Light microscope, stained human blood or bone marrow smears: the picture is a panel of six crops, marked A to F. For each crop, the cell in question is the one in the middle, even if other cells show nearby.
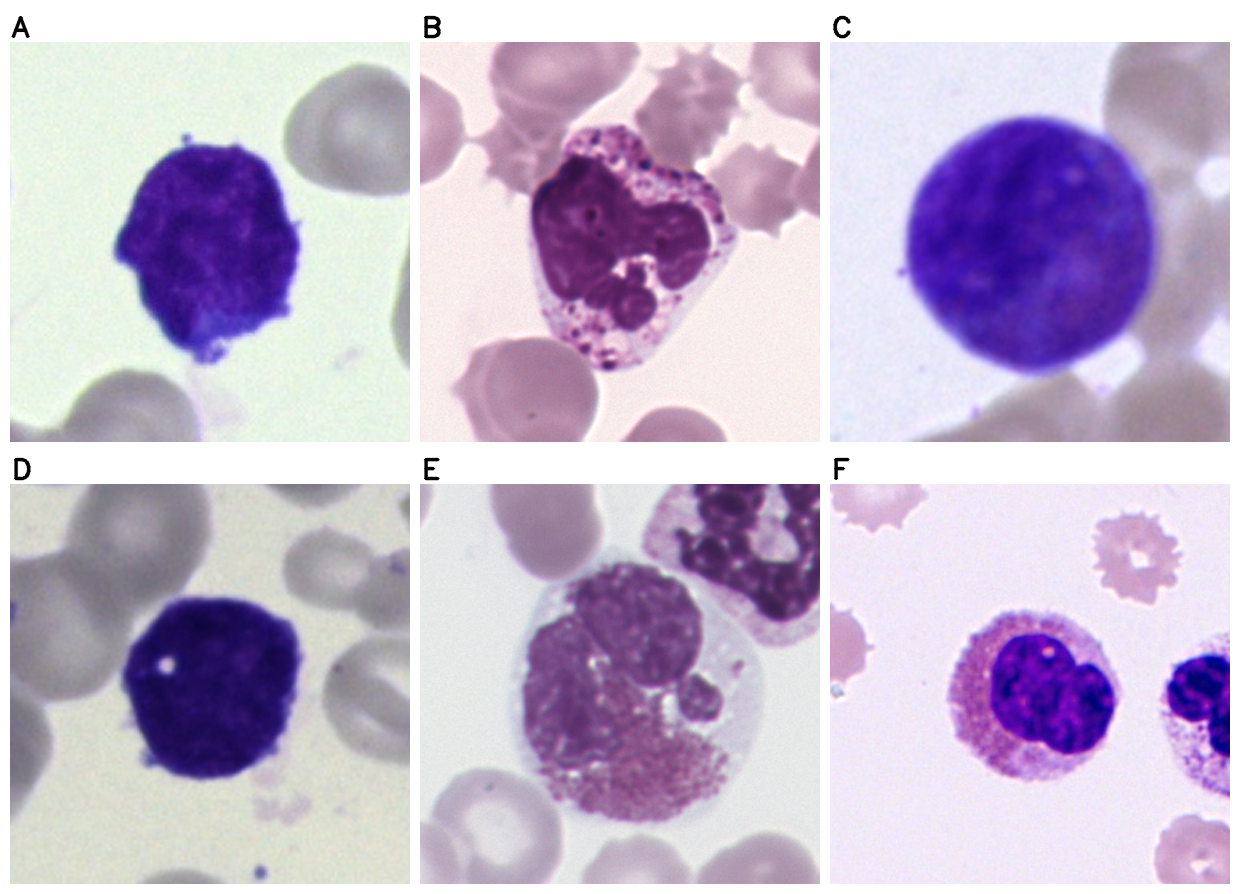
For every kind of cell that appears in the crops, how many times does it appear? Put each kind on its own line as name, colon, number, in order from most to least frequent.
eosinophil: 3
blast: 2
basophil: 1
